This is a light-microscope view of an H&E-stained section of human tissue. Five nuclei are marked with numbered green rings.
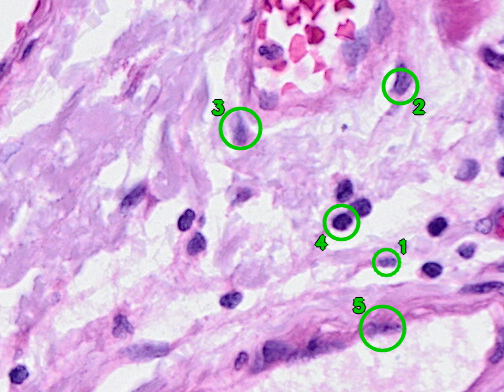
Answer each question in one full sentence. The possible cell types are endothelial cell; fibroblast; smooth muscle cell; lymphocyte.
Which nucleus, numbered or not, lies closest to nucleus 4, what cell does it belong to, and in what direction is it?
The nearest nucleus is that of a lymphocyte and lies above and to the right of nucleus 4.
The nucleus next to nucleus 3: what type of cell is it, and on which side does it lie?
An endothelial cell lies closest, above and to the right of nucleus 3.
